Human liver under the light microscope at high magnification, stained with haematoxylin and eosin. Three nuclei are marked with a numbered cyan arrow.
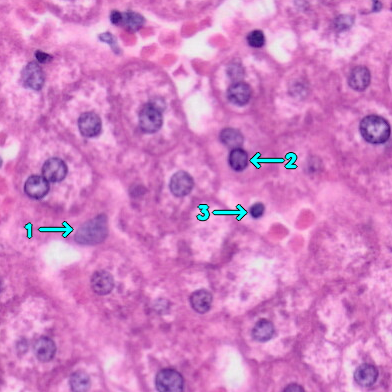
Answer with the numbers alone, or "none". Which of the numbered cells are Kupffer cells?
1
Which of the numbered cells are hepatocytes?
2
